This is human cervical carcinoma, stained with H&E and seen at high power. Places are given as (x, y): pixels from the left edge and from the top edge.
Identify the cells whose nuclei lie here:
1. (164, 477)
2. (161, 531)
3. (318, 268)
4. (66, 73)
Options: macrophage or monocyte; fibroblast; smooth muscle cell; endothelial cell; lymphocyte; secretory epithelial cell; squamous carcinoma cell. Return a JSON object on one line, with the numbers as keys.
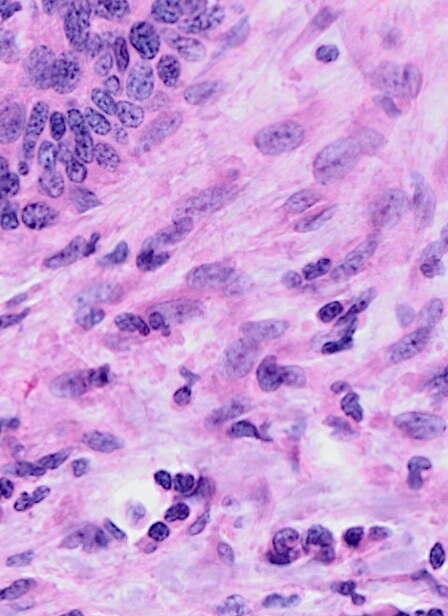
{"1": "lymphocyte", "2": "lymphocyte", "3": "lymphocyte", "4": "squamous carcinoma cell"}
